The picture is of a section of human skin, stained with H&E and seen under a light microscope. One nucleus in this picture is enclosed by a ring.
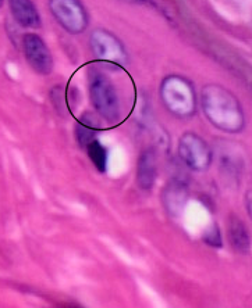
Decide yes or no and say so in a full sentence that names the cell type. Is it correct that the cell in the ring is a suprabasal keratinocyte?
No, the cell in the ring is to be classified as a basal keratinocyte rather than a suprabasal keratinocyte.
